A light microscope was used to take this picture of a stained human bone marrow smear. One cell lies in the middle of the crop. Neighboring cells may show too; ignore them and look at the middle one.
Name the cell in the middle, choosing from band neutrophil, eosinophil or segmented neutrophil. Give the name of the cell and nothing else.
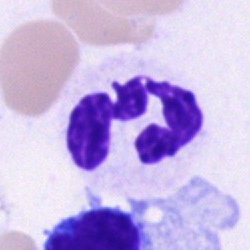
segmented neutrophil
